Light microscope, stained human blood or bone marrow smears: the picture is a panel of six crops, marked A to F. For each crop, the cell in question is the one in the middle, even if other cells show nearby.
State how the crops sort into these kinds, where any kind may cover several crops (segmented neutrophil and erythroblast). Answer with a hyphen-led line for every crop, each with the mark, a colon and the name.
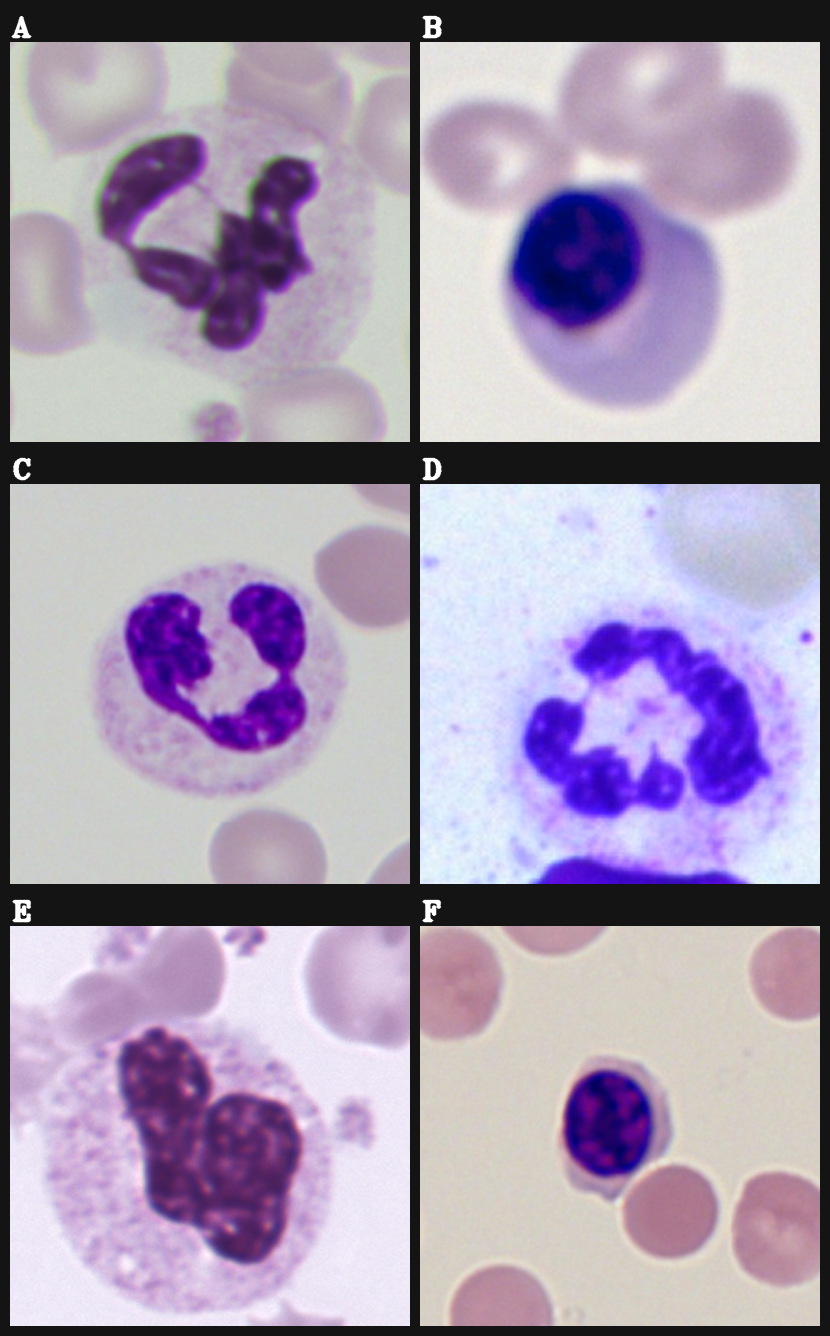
- A: segmented neutrophil
- B: erythroblast
- C: segmented neutrophil
- D: segmented neutrophil
- E: segmented neutrophil
- F: erythroblast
